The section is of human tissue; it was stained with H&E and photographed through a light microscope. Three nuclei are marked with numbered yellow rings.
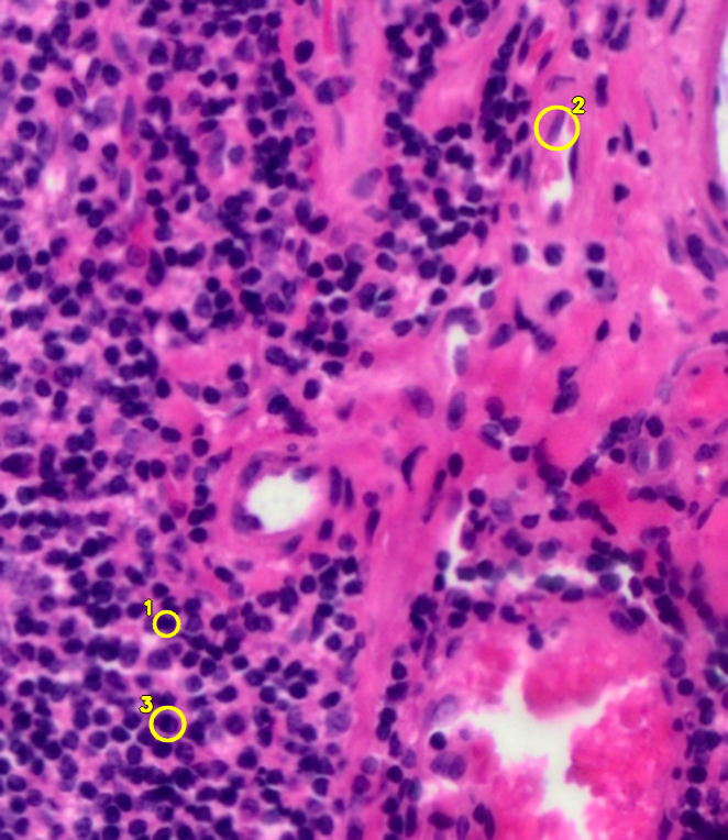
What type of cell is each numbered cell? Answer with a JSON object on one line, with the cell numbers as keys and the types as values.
{"1": "small lymphocyte", "2": "endothelial cell", "3": "small lymphocyte"}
